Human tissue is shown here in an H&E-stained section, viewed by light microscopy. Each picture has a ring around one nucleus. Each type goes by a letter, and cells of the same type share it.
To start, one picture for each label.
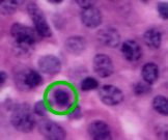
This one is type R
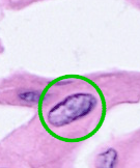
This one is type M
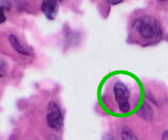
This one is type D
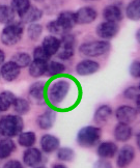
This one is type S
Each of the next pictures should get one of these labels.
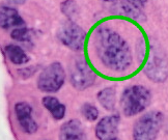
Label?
type M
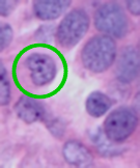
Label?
type D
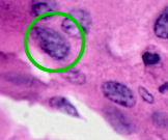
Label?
type M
